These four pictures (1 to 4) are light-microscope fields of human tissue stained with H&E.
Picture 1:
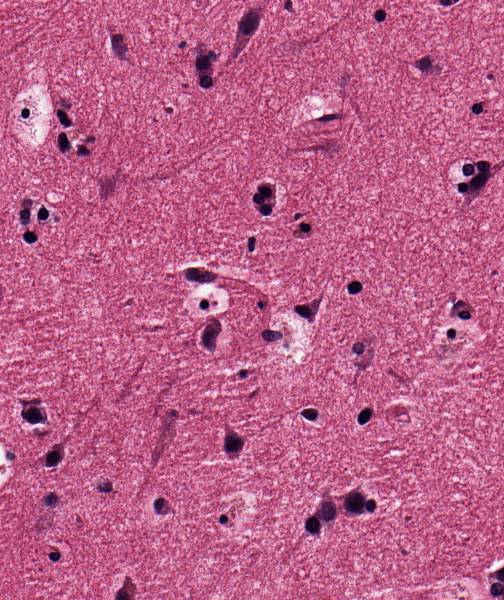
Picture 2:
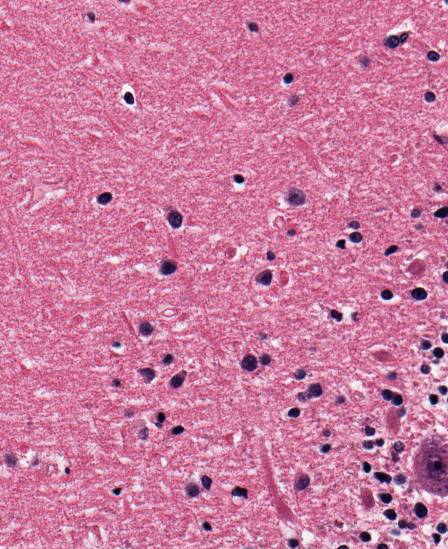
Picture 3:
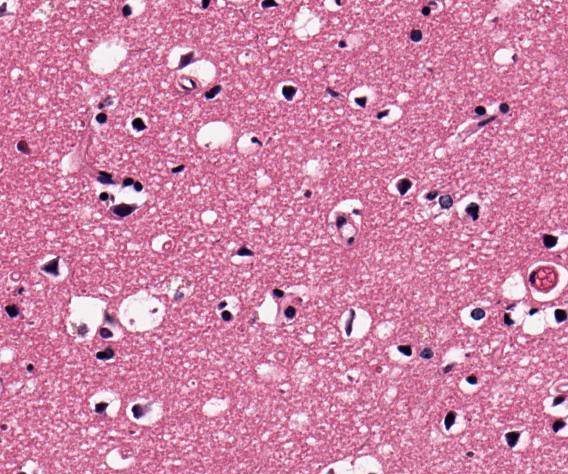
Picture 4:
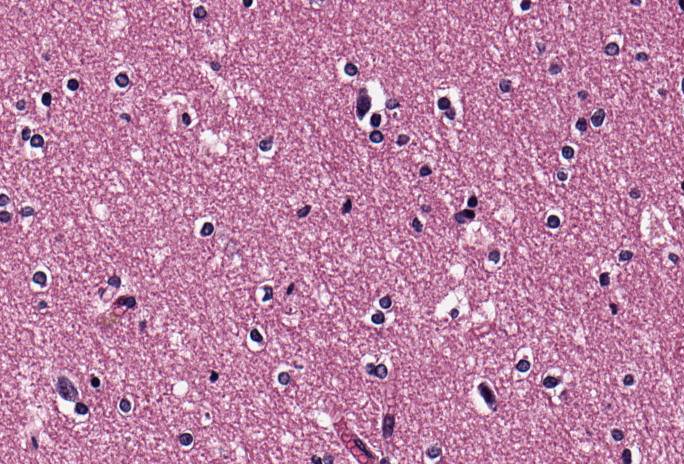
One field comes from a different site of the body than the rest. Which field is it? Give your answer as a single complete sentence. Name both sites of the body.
The others come from the cerebral cortex, but picture 2 comes from the cerebellum.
